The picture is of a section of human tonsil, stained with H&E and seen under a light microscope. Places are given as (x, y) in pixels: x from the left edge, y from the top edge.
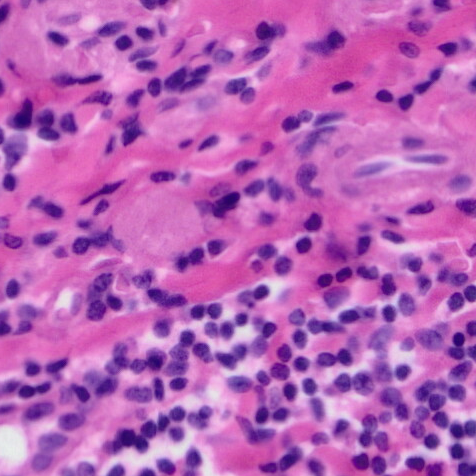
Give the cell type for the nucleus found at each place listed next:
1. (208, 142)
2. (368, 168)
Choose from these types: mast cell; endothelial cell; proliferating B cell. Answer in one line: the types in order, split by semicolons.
mast cell; endothelial cell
